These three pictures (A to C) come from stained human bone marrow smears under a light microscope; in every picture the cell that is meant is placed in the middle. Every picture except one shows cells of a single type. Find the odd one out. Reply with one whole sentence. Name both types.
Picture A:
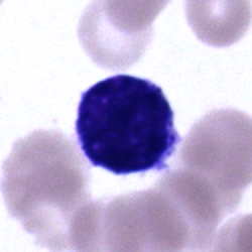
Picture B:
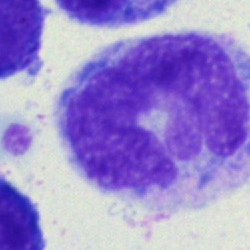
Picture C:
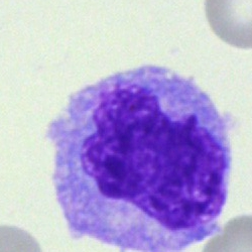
All pictures except A show monocytes; picture A shows a lymphocyte.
